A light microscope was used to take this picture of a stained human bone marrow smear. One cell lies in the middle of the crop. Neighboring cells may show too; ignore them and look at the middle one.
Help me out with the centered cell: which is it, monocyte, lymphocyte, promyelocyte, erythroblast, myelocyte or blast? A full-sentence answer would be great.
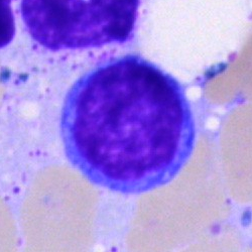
The central cell shown in this smear crop is a lymphocyte.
